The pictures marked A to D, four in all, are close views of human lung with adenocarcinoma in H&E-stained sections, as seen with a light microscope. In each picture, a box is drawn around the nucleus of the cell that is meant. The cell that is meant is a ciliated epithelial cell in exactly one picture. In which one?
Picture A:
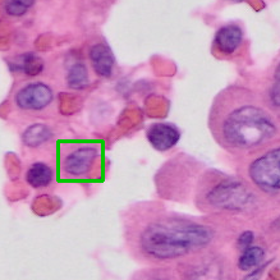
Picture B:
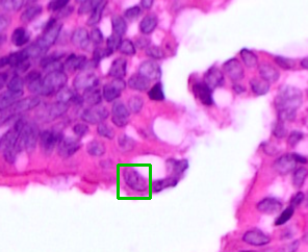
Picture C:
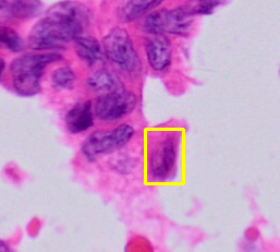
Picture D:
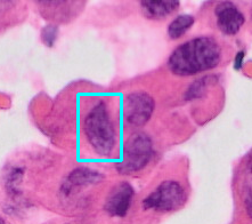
B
